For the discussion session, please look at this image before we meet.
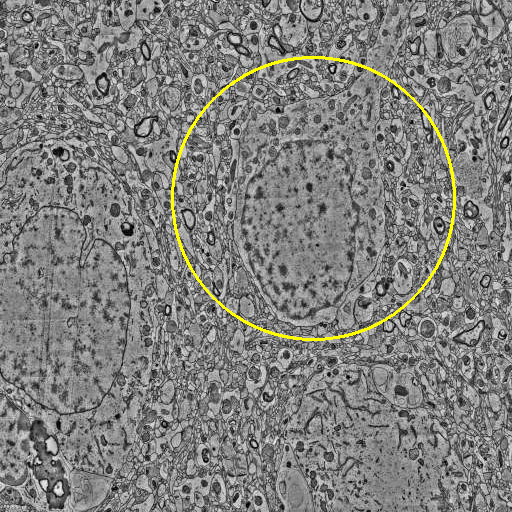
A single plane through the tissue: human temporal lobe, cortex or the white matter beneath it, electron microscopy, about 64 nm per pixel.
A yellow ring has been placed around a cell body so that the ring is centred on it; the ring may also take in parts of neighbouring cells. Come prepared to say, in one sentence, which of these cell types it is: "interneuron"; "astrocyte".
The cell centred in the ring is an interneuron.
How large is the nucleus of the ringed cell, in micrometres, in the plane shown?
The nucleus of the ringed cell is clearly longer than it is wide in this plane, about 11 by 8 micrometres.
